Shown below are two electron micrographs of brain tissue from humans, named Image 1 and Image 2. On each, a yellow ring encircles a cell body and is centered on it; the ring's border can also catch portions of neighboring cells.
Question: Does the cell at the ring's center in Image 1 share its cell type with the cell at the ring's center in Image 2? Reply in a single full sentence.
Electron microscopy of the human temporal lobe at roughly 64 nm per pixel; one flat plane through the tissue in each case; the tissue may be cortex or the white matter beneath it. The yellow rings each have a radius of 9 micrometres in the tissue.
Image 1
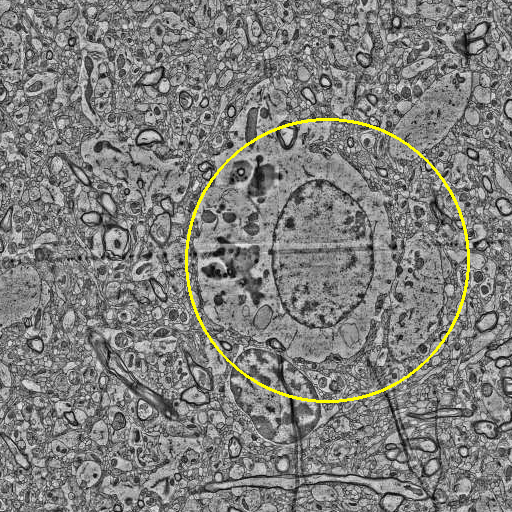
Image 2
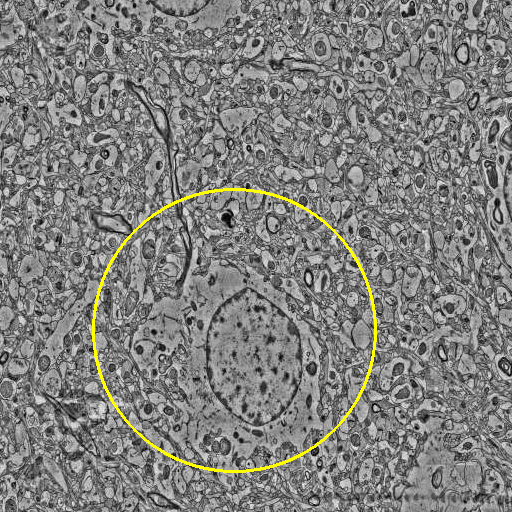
Yes, the two cells at the ring centers, in Image 1 and Image 2, share one cell type.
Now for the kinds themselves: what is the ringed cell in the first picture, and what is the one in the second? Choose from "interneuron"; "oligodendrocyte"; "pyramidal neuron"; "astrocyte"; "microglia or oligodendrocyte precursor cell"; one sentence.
Both pictures show an astrocyte at the centre of the ring.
